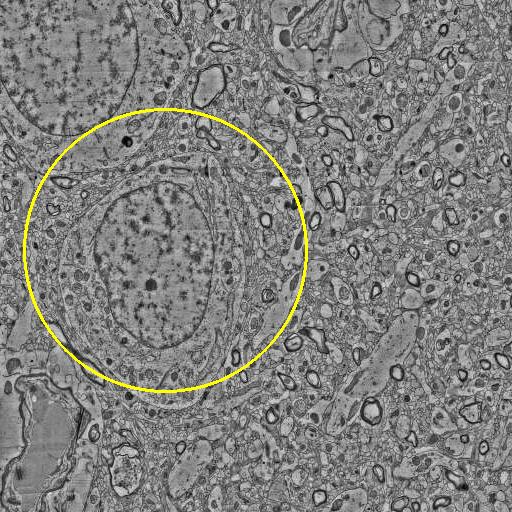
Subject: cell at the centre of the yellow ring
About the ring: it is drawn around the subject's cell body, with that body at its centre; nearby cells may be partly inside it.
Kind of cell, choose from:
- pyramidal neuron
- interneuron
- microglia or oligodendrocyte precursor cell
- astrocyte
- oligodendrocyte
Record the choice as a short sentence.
The subject cell is an interneuron.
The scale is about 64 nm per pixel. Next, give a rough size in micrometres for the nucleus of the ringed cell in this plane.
The nucleus measures about 11 by 8 micrometres in this plane.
